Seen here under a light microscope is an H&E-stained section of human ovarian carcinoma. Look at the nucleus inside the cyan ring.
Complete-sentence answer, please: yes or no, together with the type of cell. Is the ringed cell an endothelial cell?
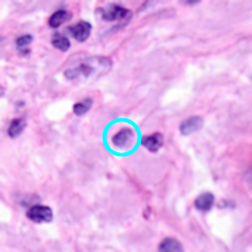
No, on this slide the ringed cell is a lymphocyte, not an endothelial cell.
